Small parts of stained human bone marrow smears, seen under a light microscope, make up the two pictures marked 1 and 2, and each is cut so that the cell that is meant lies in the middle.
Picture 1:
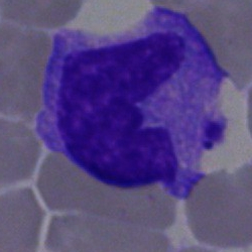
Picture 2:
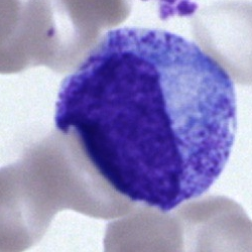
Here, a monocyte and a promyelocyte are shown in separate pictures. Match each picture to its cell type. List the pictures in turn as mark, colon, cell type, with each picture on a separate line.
1: monocyte
2: promyelocyte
